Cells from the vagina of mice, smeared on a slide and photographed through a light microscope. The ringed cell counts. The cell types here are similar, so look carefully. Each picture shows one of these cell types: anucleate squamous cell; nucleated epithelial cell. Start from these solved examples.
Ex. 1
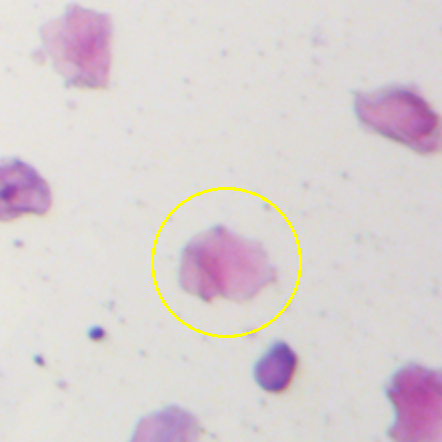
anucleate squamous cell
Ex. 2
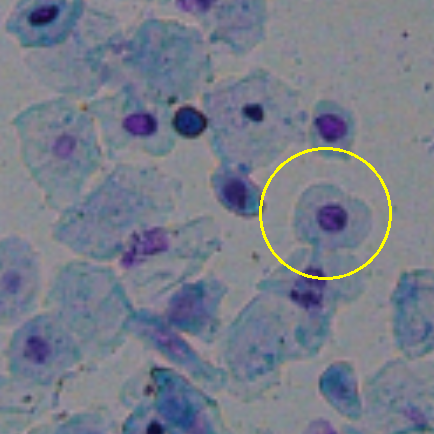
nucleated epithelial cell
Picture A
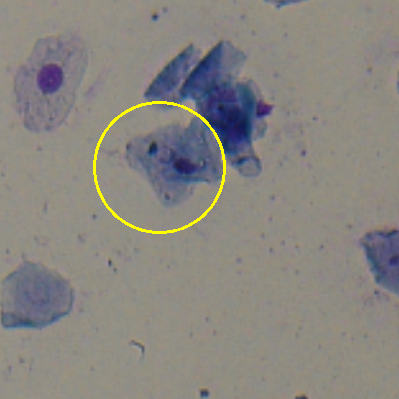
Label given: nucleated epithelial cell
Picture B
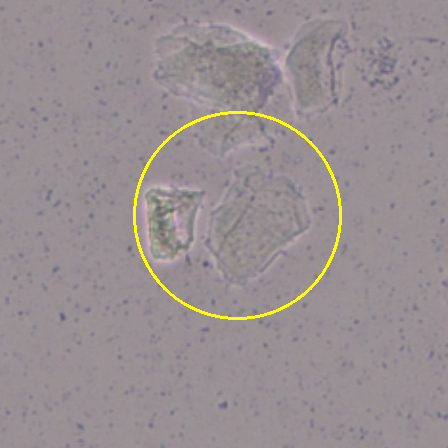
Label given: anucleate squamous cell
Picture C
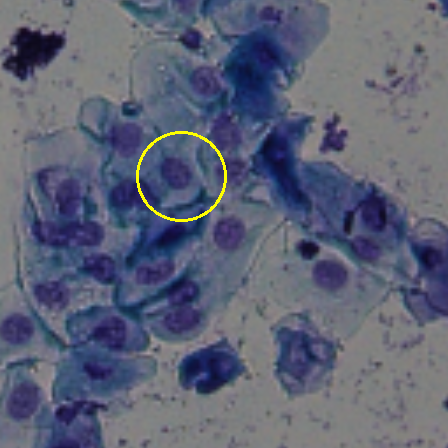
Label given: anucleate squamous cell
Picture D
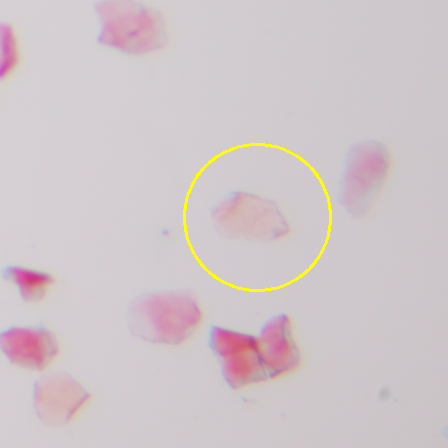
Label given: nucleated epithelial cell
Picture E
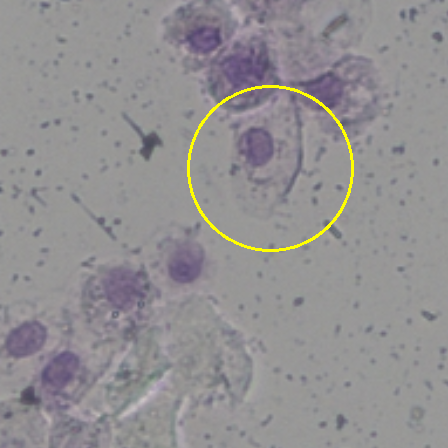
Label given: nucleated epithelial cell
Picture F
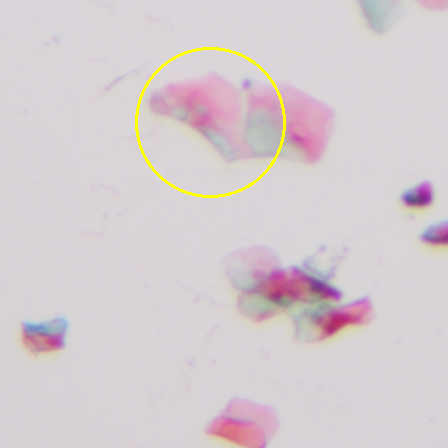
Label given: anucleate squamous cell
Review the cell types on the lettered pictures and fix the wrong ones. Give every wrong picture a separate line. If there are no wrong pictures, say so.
C is labelled anucleate squamous cell; correct label: nucleated epithelial cell
D is labelled nucleated epithelial cell; correct label: anucleate squamous cell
